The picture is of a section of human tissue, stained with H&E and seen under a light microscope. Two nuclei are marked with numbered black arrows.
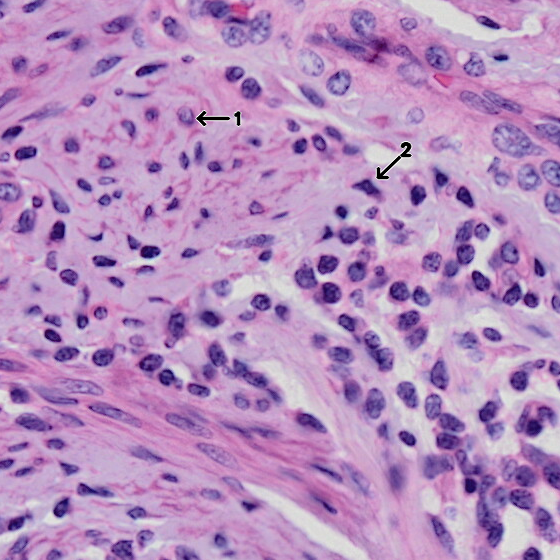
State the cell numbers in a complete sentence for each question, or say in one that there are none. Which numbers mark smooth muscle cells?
It is only cell 1 that is a smooth muscle cell among the numbered cells.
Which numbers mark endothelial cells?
Answering directly: no endothelial cells are among the numbered cells.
